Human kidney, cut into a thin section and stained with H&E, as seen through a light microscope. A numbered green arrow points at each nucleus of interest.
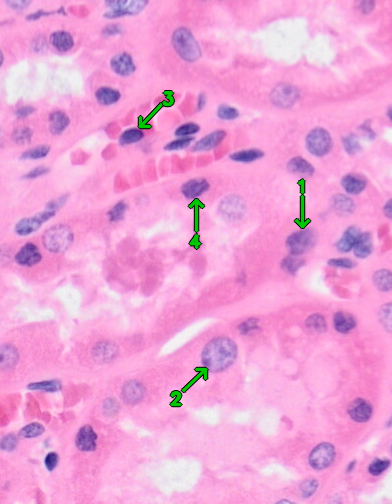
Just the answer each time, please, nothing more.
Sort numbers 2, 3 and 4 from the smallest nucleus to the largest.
3, 4, 2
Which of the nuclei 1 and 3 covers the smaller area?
3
